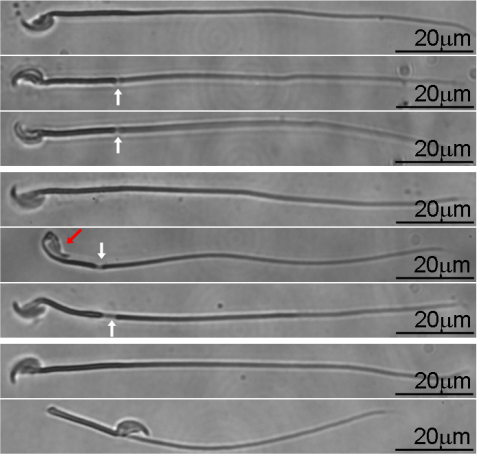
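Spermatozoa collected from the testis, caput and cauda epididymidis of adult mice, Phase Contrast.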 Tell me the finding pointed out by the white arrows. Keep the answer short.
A: thinning of annulus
